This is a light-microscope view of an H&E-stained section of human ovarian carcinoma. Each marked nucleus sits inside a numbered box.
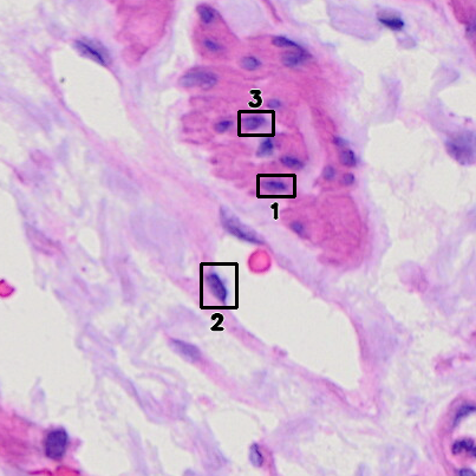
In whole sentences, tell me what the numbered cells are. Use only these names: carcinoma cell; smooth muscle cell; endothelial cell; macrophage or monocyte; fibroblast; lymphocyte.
Cells 1 and 3 are smooth muscle cells. Cell 2 is an endothelial cell.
